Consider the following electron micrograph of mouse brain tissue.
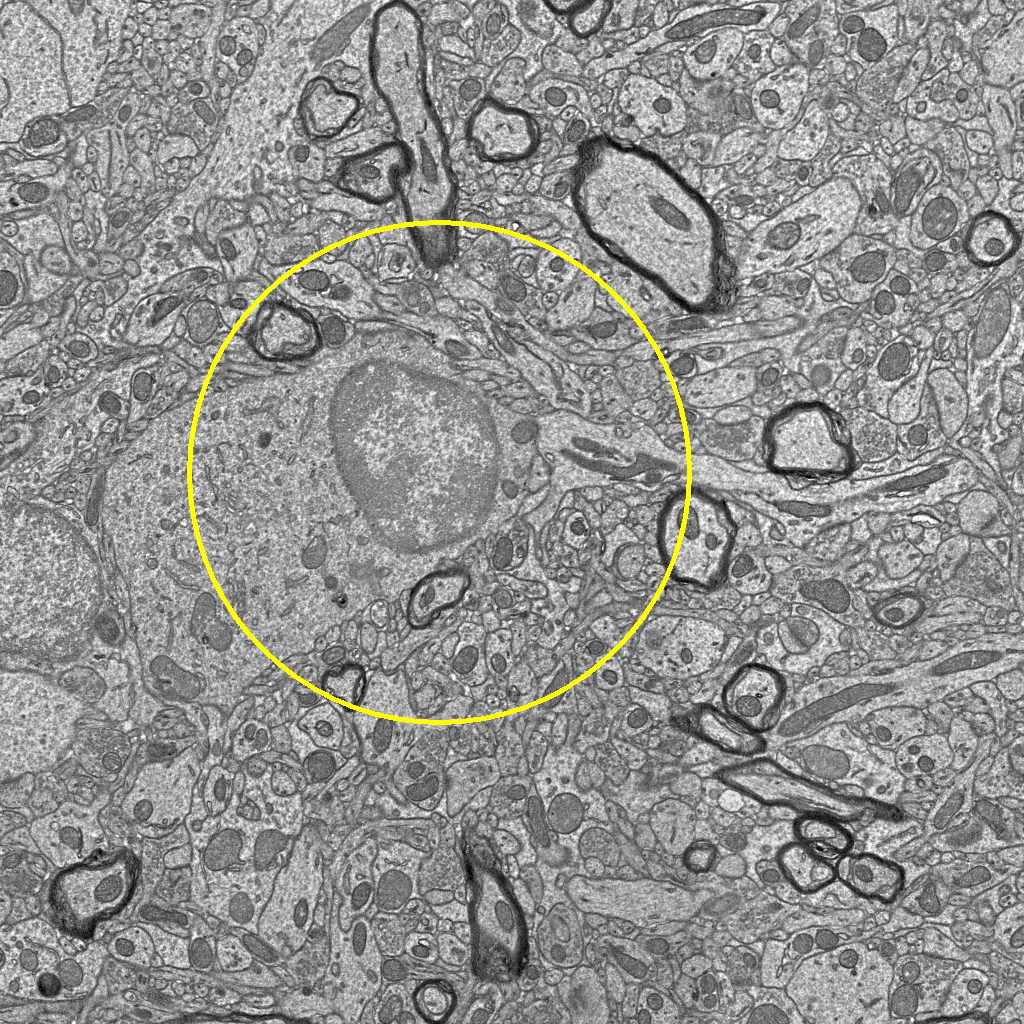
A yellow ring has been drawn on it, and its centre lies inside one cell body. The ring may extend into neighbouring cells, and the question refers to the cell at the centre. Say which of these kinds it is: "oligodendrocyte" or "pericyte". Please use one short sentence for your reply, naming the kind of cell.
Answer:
The centre of the ring falls on an oligodendrocyte.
